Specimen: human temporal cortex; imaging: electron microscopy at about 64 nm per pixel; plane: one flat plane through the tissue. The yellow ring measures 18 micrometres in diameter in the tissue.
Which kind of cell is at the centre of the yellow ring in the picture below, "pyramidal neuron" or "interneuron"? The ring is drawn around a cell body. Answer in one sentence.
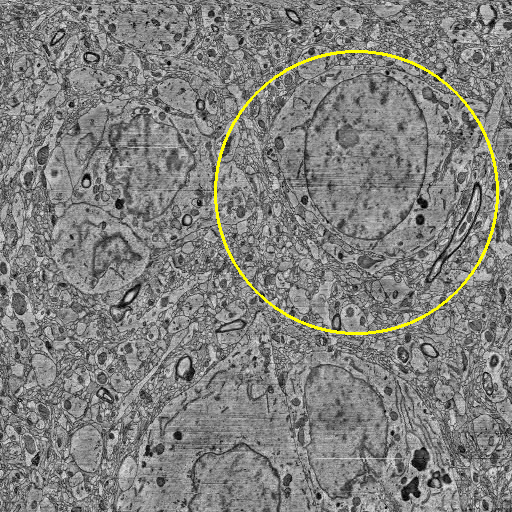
The ring's central cell is a pyramidal neuron.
